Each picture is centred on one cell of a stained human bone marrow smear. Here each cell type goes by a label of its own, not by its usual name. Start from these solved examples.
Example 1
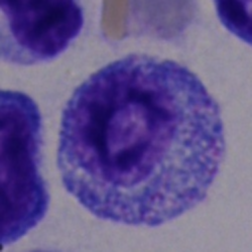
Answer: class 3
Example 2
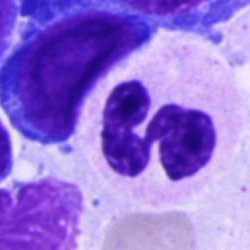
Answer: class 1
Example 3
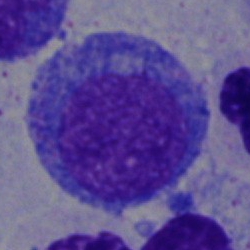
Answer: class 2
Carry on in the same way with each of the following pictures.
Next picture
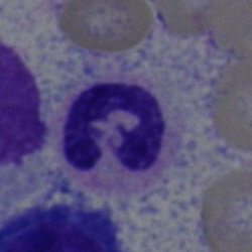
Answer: class 1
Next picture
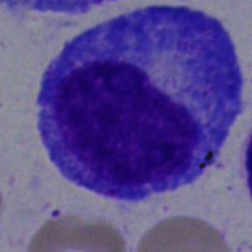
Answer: class 2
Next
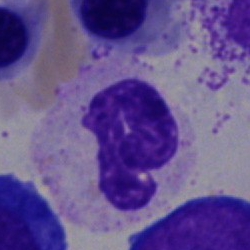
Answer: class 1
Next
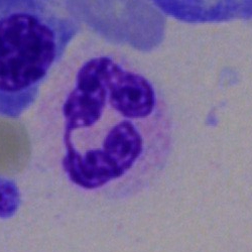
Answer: class 1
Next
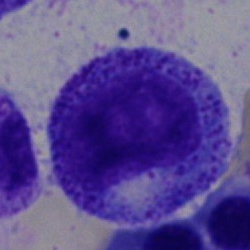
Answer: class 2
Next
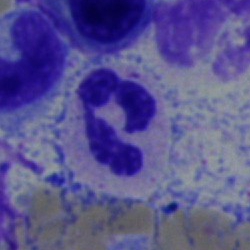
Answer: class 1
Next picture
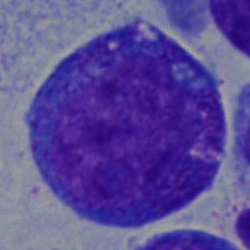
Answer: class 2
